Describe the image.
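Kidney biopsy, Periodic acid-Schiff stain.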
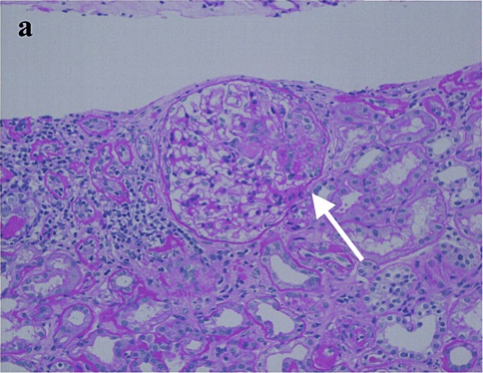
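Renal cortex with one glomerulus centred among tubules and interstitium. The glomerular tuft is hypercellular in segments, with a magenta-staining segment of scarred, solidified matrix. Along part of the rim, cells fill the space between the tuft and Bowman's capsule. Surrounding tubules have magenta basement membranes; several are dilated with flattened epithelium, others small. On the left, the interstitium holds a dense cluster of small round dark nuclei, an inflammatory infiltrate, separating the tubules.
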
